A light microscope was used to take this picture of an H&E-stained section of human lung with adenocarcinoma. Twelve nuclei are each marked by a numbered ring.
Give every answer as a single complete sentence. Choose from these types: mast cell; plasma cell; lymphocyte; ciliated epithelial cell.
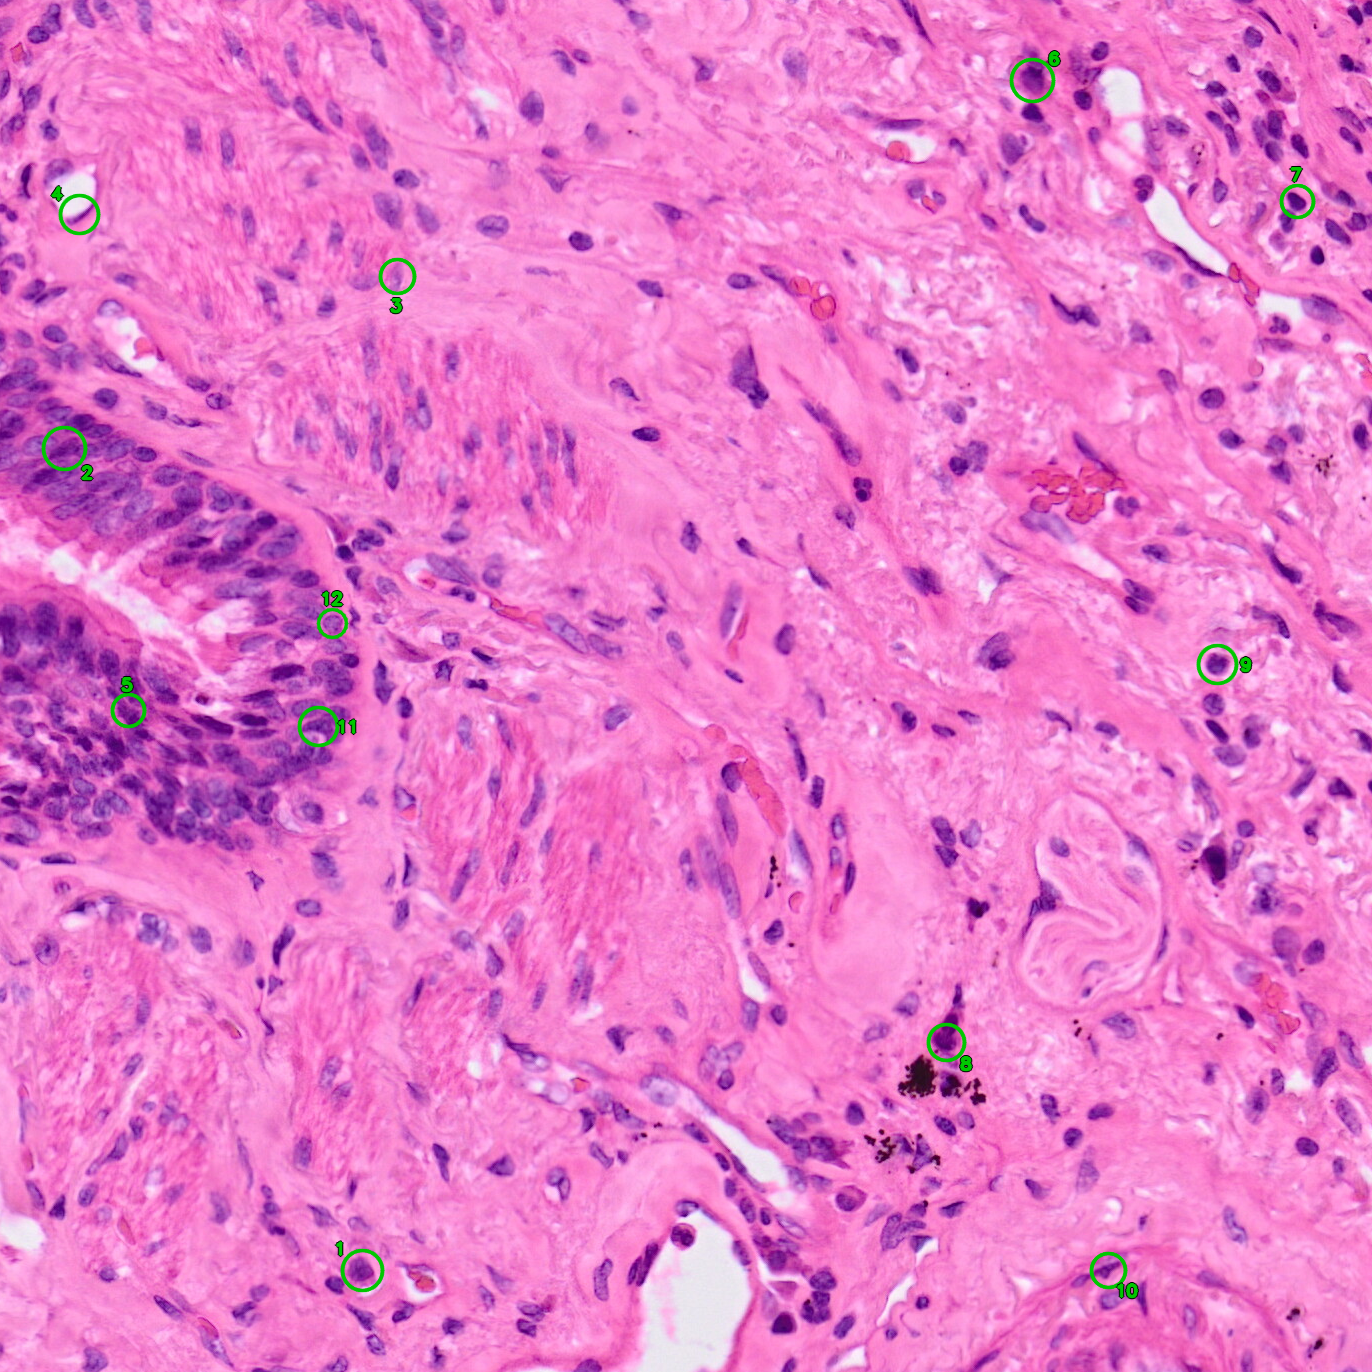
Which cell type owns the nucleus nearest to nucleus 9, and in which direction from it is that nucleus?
A mast cell lies closest, below nucleus 9.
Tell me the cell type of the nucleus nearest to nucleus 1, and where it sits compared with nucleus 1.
Just below and to the left of nucleus 1 lies the nearest nucleus, which belongs to a mast cell.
